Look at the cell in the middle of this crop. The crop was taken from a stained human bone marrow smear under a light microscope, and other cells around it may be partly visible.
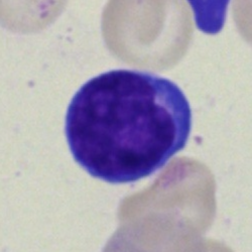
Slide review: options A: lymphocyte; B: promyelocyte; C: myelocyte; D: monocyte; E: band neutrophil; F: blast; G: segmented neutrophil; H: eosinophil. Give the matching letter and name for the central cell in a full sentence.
This one is option A, since the cell at the center is a lymphocyte.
